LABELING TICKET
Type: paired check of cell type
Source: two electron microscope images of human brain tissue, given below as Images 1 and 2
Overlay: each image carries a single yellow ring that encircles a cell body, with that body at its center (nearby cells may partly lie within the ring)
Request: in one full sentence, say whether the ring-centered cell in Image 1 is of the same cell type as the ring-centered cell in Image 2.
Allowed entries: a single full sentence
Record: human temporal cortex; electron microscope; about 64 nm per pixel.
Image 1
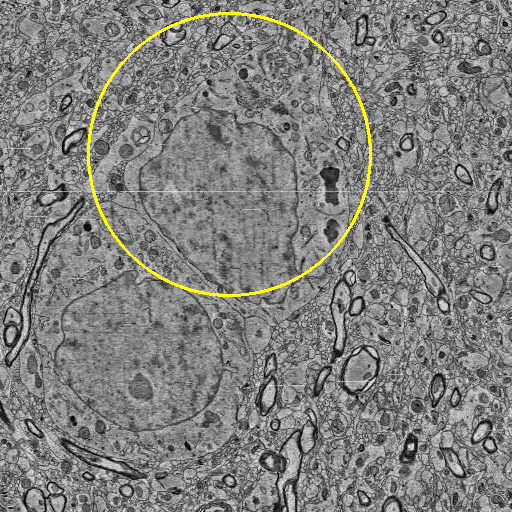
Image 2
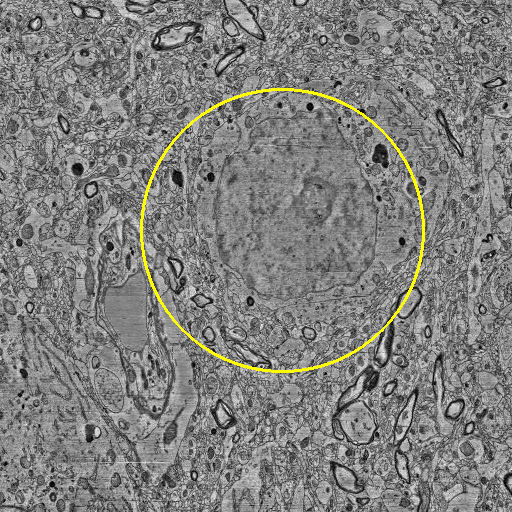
Yes, the cells centered in the rings of Image 1 and Image 2 share one type.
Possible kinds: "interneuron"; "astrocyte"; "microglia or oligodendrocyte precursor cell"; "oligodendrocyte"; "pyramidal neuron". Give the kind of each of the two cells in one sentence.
The cell at the ring centre is an interneuron in both pictures.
